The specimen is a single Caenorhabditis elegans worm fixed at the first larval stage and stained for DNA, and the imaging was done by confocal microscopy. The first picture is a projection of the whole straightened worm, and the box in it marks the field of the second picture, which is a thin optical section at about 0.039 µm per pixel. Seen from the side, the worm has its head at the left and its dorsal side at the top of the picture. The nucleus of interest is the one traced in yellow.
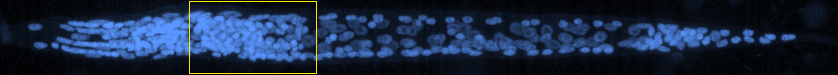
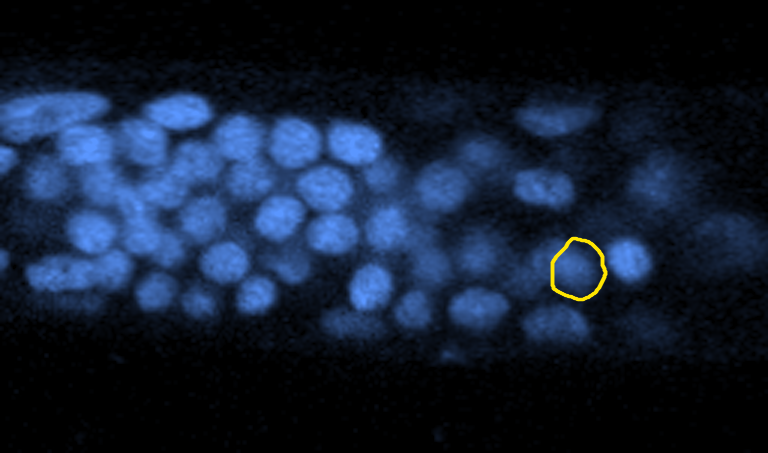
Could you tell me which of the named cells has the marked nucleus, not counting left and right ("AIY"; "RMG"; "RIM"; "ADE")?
RMG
